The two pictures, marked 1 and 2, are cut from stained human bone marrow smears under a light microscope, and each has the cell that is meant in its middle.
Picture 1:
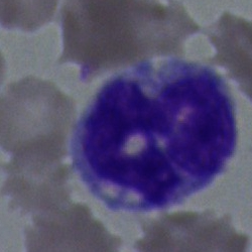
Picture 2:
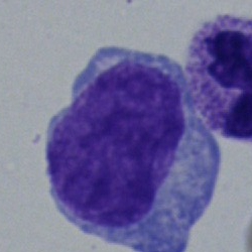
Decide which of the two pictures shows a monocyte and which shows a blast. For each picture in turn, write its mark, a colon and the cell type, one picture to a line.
1: monocyte
2: blast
